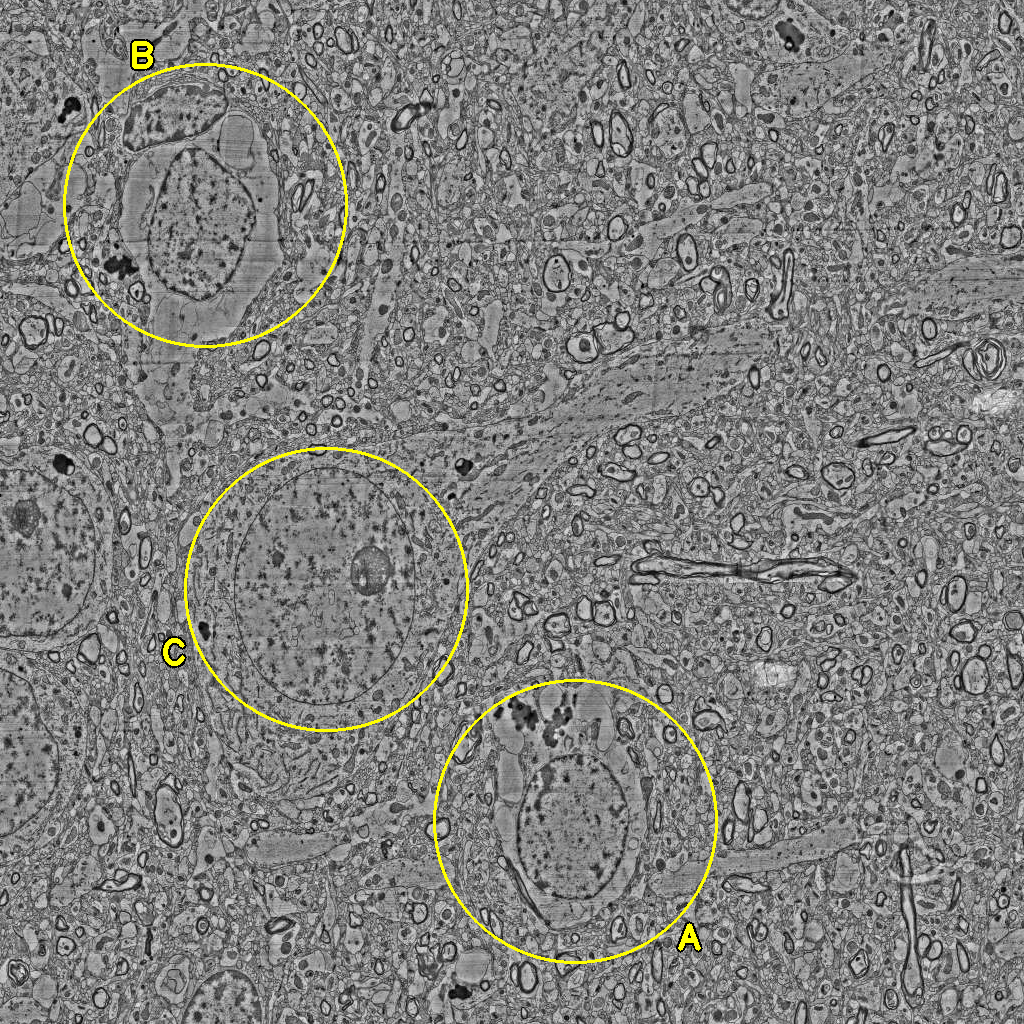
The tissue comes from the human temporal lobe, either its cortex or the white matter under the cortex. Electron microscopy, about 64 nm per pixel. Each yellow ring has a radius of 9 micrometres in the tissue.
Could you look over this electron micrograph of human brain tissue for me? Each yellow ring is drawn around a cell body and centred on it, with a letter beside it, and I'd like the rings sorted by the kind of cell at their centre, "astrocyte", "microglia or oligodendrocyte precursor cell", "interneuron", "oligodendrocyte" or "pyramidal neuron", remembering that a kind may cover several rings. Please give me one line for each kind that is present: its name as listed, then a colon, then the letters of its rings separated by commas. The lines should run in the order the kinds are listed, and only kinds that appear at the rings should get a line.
astrocyte: A, B
pyramidal neuron: C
